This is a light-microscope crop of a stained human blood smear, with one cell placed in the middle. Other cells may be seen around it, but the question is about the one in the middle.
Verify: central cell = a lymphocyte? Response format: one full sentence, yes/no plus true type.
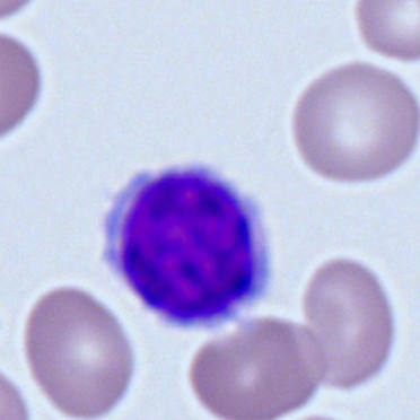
Yes, the cell lying in the middle is a lymphocyte.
